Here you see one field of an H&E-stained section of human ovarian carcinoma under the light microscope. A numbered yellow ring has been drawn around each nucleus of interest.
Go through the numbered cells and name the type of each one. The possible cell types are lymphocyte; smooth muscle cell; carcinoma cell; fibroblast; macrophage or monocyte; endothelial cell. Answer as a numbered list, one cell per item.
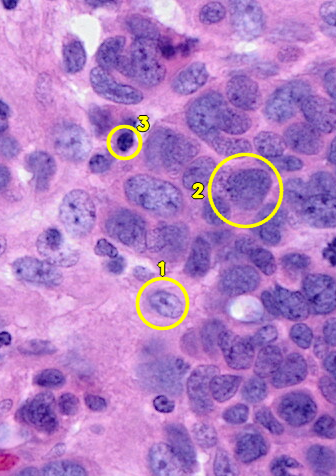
1. fibroblast
2. carcinoma cell
3. lymphocyte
